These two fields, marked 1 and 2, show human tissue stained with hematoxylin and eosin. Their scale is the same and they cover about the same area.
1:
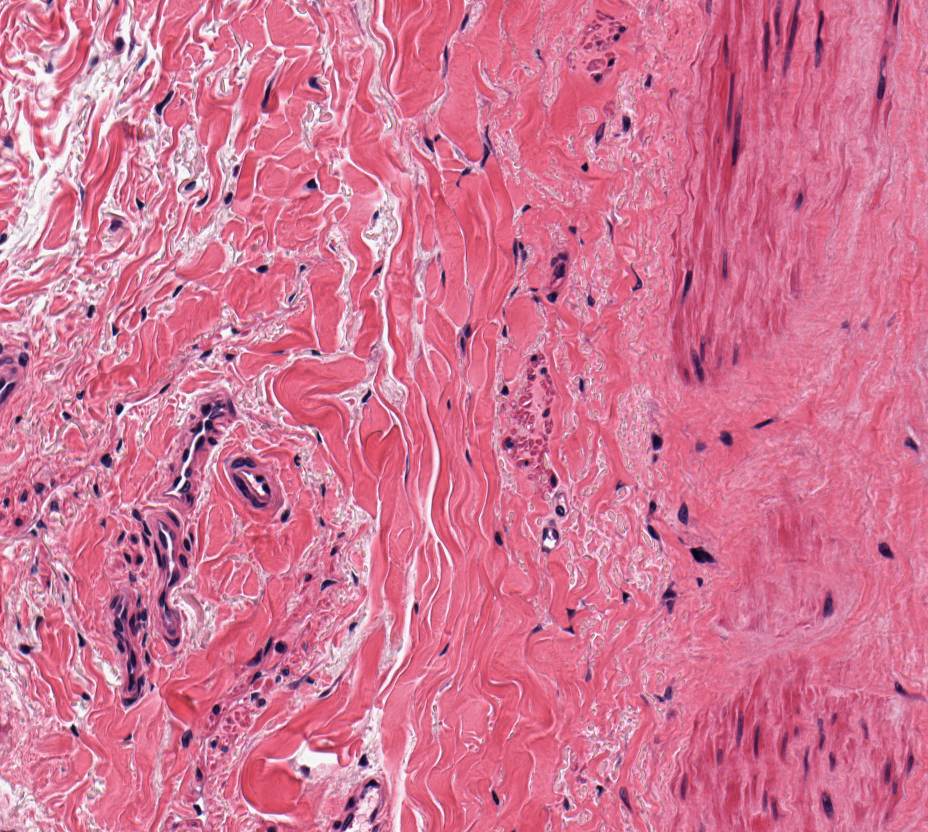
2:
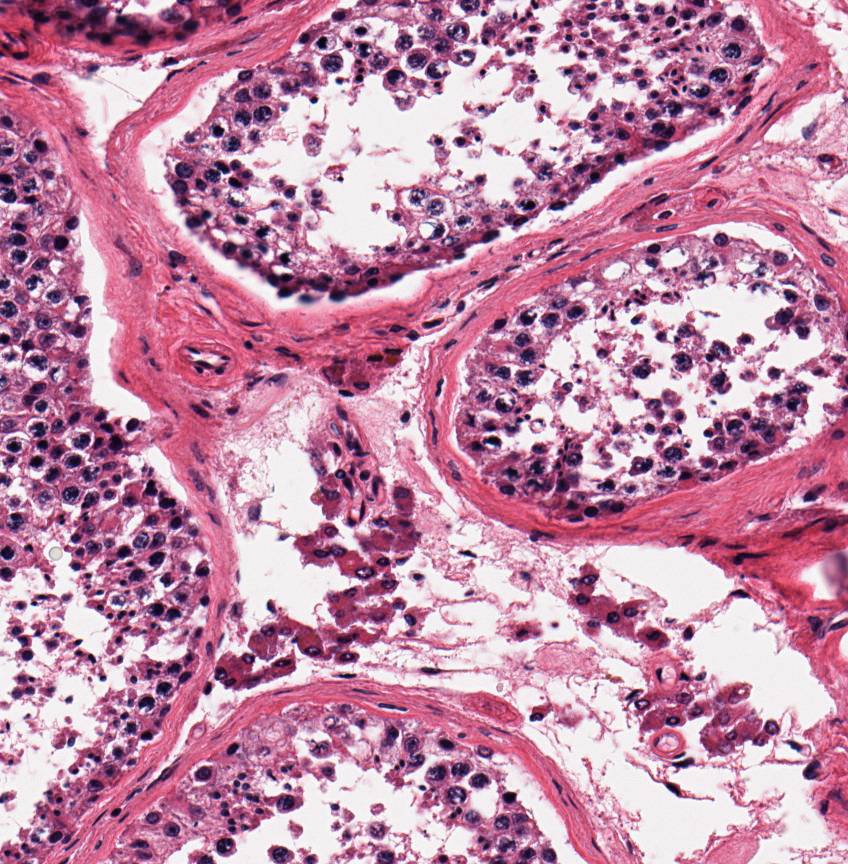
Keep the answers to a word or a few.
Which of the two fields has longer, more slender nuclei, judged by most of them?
1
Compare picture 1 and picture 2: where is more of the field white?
2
